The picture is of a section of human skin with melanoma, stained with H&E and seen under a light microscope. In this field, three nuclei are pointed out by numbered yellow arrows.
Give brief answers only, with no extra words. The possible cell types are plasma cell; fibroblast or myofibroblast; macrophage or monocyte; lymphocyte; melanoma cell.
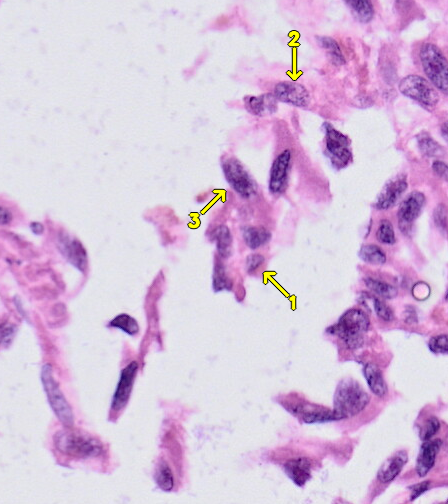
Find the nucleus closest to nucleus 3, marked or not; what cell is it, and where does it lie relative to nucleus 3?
a melanoma cell to the right of nucleus 3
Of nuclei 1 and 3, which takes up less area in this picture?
1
